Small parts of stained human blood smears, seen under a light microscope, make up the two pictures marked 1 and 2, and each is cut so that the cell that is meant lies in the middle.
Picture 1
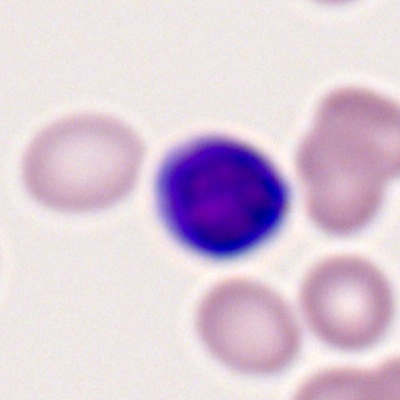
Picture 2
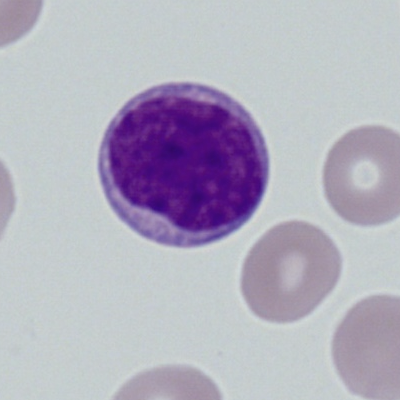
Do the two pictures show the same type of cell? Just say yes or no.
yes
